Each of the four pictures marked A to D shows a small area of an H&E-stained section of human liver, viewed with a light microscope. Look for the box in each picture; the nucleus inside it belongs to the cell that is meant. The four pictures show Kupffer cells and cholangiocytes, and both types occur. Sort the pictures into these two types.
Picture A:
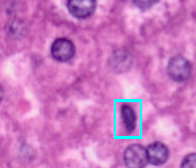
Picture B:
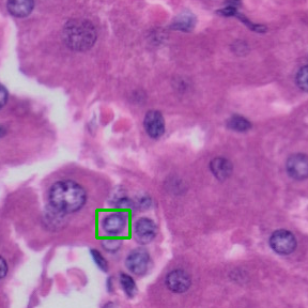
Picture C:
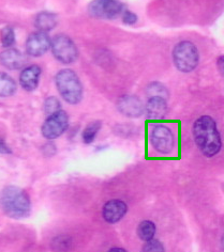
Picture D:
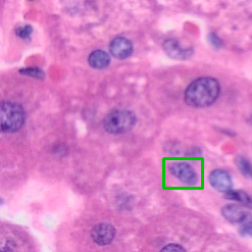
A: Kupffer cell
B: cholangiocyte
C: cholangiocyte
D: cholangiocyte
